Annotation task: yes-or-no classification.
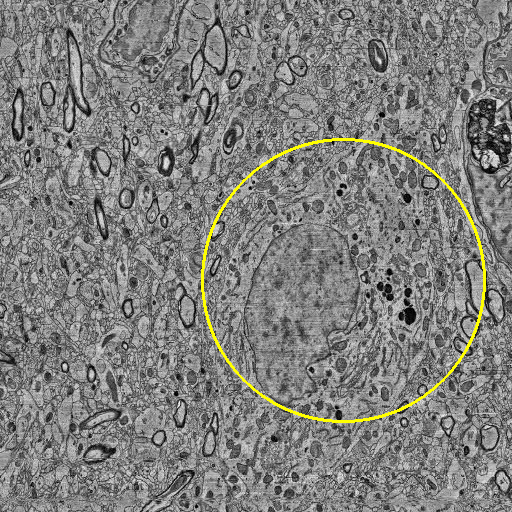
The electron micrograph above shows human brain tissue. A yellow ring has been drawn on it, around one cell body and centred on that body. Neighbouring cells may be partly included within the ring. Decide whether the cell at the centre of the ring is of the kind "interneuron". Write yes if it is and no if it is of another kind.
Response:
yes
